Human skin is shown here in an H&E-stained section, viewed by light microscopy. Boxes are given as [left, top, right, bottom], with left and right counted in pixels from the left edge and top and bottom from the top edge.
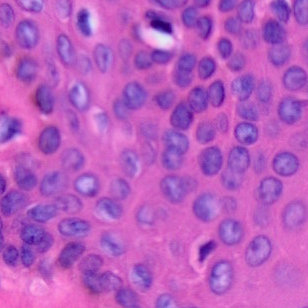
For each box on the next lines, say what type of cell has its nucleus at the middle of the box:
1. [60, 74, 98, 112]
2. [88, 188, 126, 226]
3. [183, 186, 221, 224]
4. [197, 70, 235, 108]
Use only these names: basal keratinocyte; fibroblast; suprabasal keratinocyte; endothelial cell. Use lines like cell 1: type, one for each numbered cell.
cell 1: suprabasal keratinocyte
cell 2: suprabasal keratinocyte
cell 3: suprabasal keratinocyte
cell 4: basal keratinocyte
